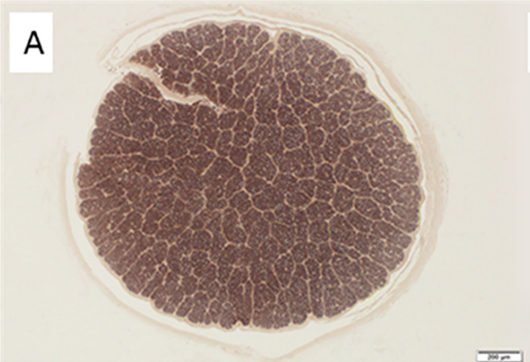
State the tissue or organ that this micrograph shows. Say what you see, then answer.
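Optic nerve. Round cross-section of a nerve wrapped in a pale sheath. Interior divided by pale septa into many small fascicles.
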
